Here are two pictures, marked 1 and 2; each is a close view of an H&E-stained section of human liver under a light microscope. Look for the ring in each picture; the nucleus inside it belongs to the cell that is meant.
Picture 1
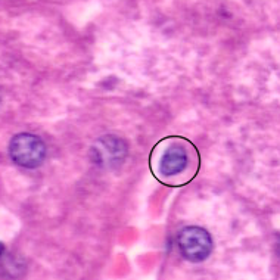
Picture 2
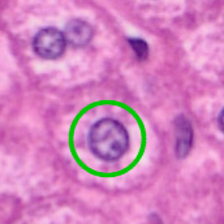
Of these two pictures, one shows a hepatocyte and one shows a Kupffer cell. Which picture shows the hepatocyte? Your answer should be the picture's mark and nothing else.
2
